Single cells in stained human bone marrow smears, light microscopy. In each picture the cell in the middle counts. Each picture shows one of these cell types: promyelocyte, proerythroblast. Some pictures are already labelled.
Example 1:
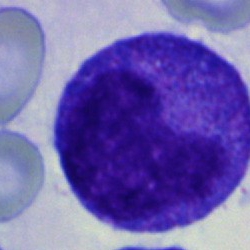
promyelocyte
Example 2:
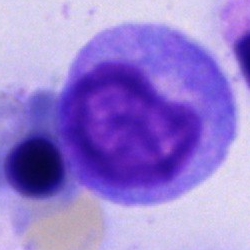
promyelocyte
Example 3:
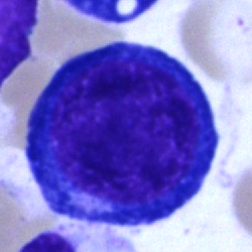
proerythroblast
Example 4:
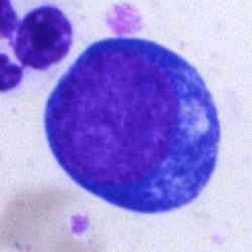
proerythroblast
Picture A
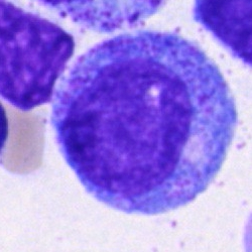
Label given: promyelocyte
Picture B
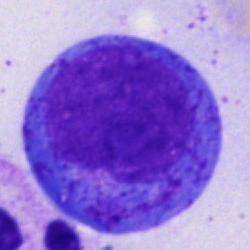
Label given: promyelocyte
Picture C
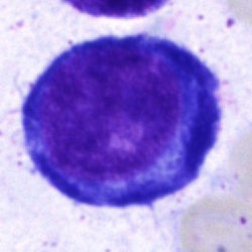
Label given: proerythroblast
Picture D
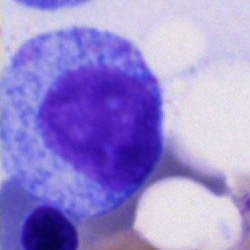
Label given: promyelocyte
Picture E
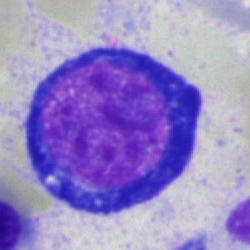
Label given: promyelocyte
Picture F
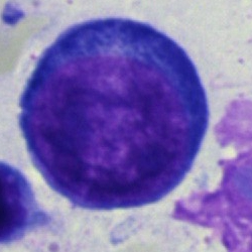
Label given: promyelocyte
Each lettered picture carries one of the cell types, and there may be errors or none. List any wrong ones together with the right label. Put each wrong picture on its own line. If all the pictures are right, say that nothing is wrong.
Wrong: E (promyelocyte); correct: proerythroblast
Wrong: F (promyelocyte); correct: proerythroblast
